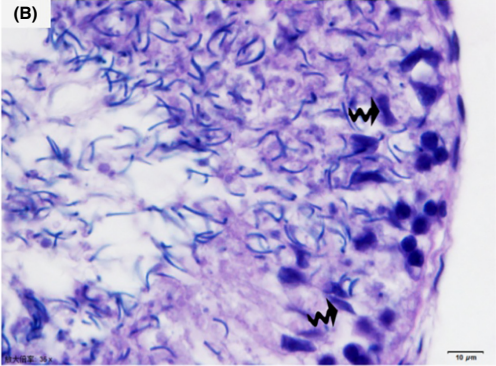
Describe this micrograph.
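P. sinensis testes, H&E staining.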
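Part of a seminiferous tubule with spermatogonia, Sertoli cells and elongated spermatids. Along the thin outer boundary lie small cells with dark purple round nuclei. Among them are cells with elongated, angular nuclei that reach inward. The inner part of the tubule is filled with many slender, curved, dark blue thread-like profiles lying in a loose pale pink fibrillar material, with clear spaces between them.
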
